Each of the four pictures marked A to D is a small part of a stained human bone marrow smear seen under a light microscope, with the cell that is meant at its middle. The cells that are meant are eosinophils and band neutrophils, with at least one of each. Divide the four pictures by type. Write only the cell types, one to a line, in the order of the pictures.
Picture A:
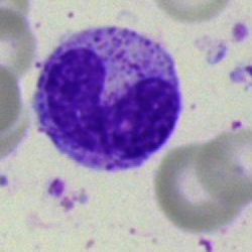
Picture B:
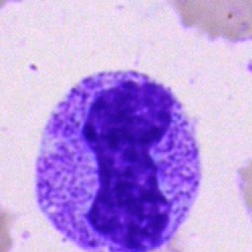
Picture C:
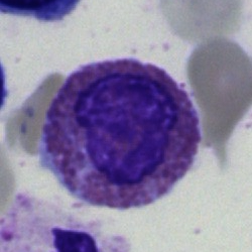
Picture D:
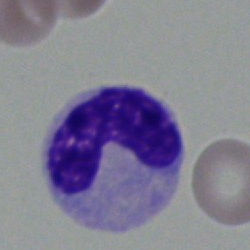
band neutrophil
band neutrophil
eosinophil
band neutrophil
